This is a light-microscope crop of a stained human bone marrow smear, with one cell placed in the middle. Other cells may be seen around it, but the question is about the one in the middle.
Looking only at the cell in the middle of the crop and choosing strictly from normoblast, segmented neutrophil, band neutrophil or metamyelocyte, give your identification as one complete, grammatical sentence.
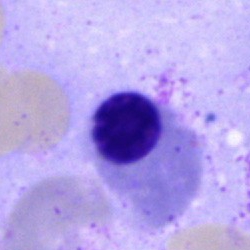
The cell centered in this field of view is a normoblast.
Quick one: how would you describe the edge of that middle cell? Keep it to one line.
If you check the edge, you will find it smooth without projections.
